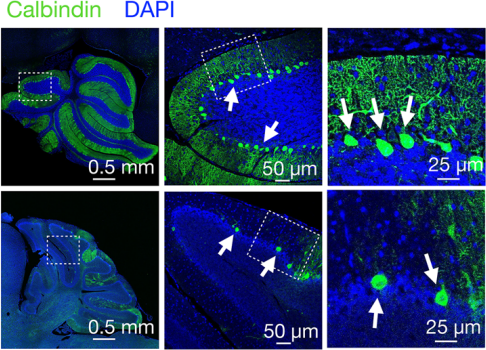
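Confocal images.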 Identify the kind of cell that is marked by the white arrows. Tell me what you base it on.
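The arrows point to large round green cell bodies. The cell bodies lie at the border of the dense blue nuclear layer. On this evidence: Purkinje cells.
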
